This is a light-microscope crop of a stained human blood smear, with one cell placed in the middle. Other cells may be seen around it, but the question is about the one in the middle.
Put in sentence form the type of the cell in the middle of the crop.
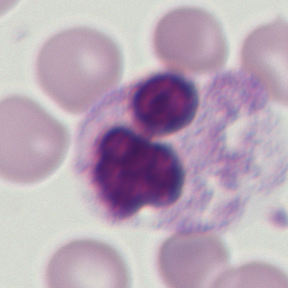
Centred in the crop is a segmented neutrophil.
